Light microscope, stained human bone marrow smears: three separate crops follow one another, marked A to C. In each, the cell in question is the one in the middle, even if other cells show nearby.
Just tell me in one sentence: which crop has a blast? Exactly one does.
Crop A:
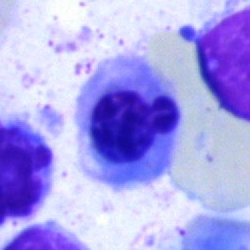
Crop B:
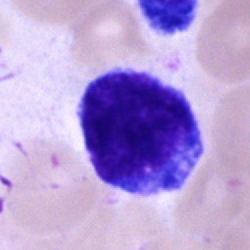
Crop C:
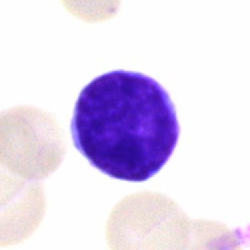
Crop B, of the crops presented, is the one showing a blast.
